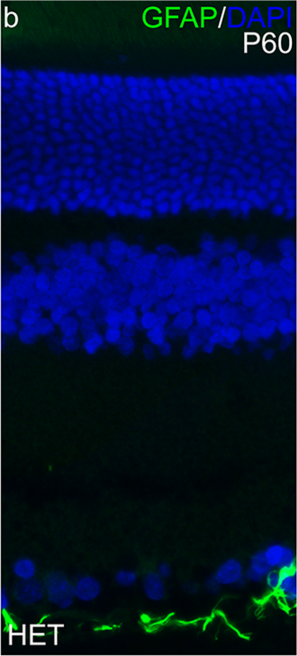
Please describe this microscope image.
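A cross-section of retina shows its layers in order from a faintly fluorescent photoreceptor layer at the top, through a thick outer nuclear layer of small, densely packed blue nuclei, a thin nucleus-free outer plexiform layer, and an inner nuclear layer of somewhat larger nuclei. Below lies a broad, nearly nucleus-free inner plexiform layer and, at the bottom, a ganglion cell layer with a sparse row of rounder nuclei. Green labeling is confined to thin, wavy threads along the innermost surface of the tissue, with no green running radially through the nuclear and plexiform layers.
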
